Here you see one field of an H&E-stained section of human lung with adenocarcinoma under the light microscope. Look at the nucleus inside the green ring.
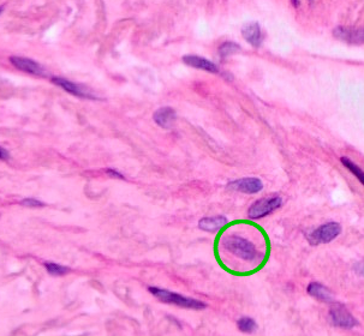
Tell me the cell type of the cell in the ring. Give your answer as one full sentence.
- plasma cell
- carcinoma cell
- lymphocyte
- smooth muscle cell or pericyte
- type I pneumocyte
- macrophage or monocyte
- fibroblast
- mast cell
Within the stained tissue, the cell in the ring is a smooth muscle cell or pericyte.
